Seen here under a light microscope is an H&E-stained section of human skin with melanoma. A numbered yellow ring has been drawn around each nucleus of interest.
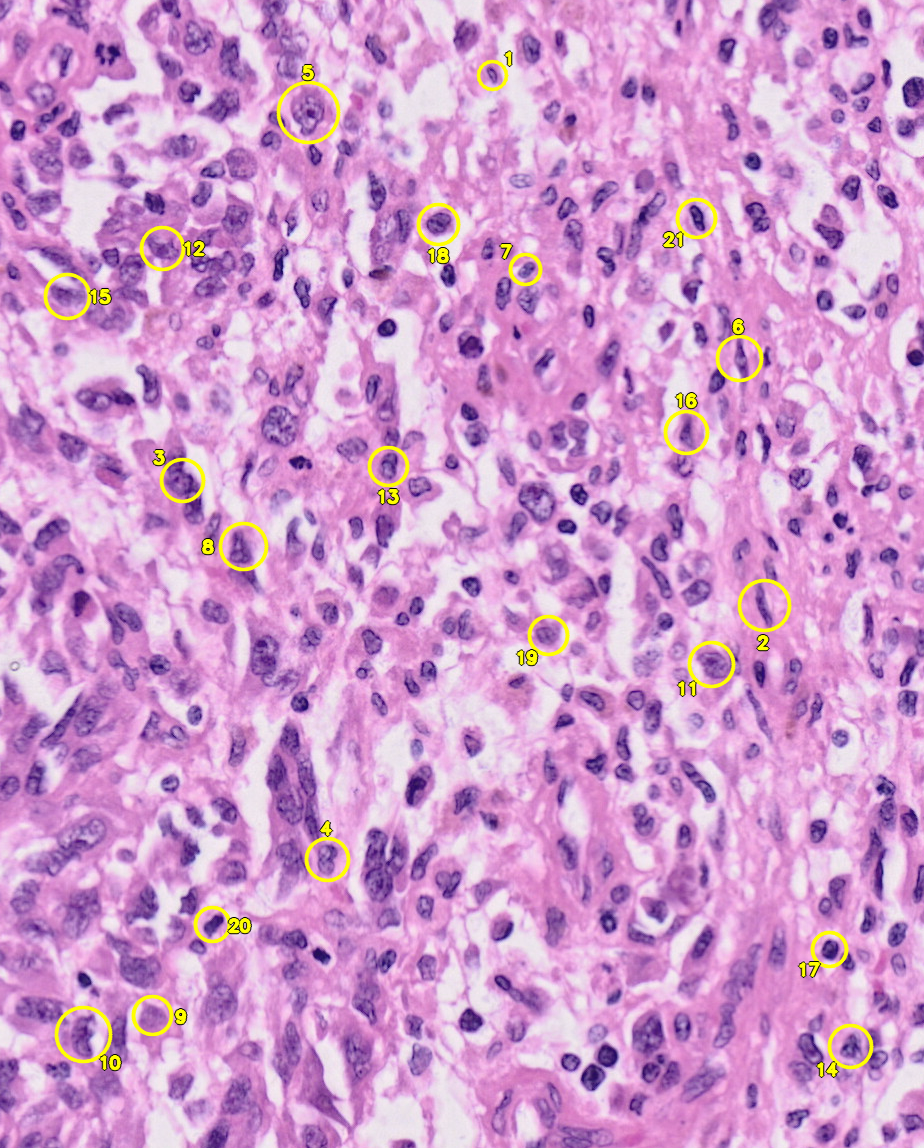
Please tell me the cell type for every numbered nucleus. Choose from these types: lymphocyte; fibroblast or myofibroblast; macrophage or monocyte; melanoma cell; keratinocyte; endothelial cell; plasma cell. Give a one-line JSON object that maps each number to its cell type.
{"1": "macrophage or monocyte", "2": "fibroblast or myofibroblast", "3": "melanoma cell", "4": "macrophage or monocyte", "5": "melanoma cell", "6": "fibroblast or myofibroblast", "7": "lymphocyte", "8": "melanoma cell", "9": "melanoma cell", "10": "melanoma cell", "11": "melanoma cell", "12": "melanoma cell", "13": "macrophage or monocyte", "14": "lymphocyte", "15": "melanoma cell", "16": "macrophage or monocyte", "17": "lymphocyte", "18": "macrophage or monocyte", "19": "macrophage or monocyte", "20": "lymphocyte", "21": "lymphocyte"}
